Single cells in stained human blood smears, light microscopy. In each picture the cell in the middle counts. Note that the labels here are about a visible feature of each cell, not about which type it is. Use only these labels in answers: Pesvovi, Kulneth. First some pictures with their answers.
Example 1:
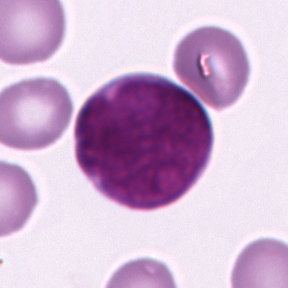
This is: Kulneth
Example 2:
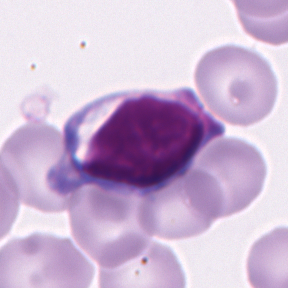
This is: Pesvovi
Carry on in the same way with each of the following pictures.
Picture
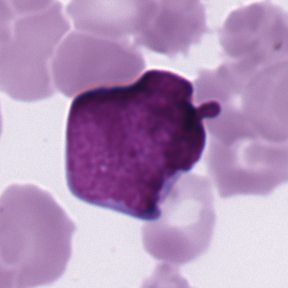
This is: Pesvovi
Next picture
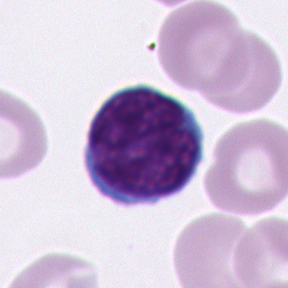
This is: Kulneth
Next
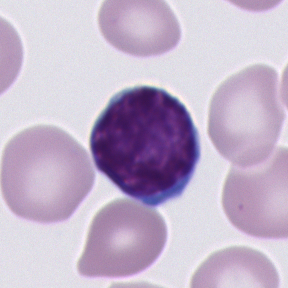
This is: Kulneth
